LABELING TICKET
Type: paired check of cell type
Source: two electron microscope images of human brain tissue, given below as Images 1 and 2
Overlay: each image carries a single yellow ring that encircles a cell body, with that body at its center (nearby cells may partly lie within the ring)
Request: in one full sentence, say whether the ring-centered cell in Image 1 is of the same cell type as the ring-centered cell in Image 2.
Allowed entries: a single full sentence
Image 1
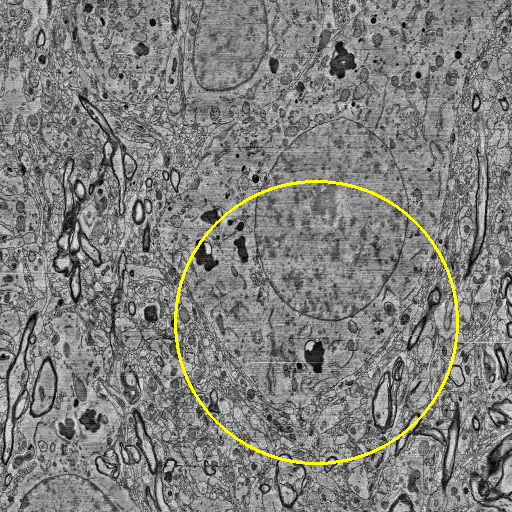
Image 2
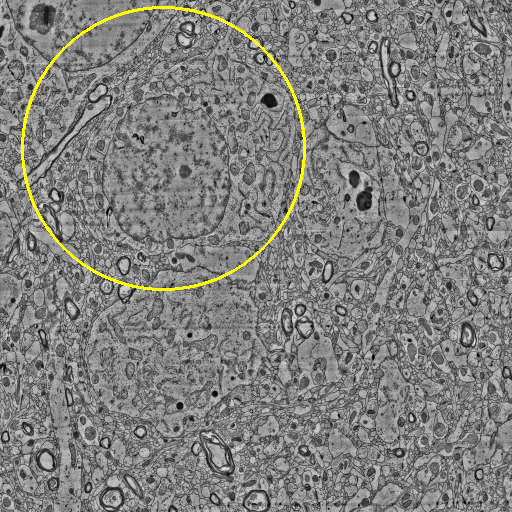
No, the cells centered in the rings of Image 1 and Image 2 are of two types.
